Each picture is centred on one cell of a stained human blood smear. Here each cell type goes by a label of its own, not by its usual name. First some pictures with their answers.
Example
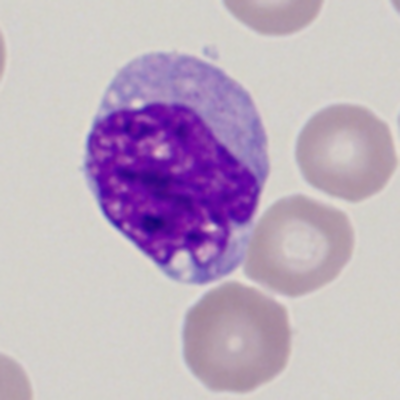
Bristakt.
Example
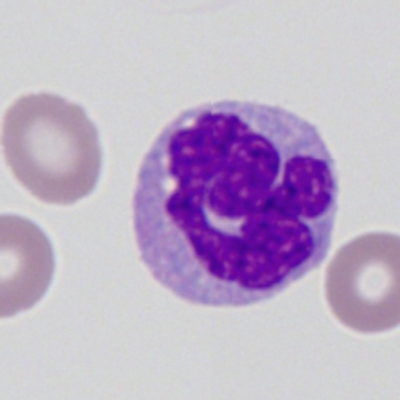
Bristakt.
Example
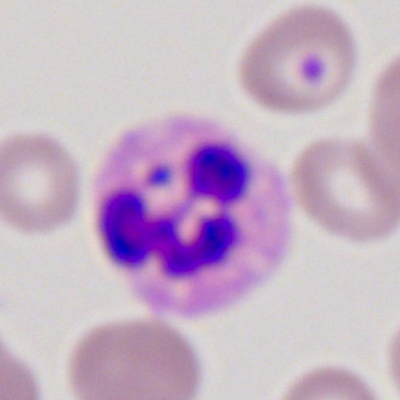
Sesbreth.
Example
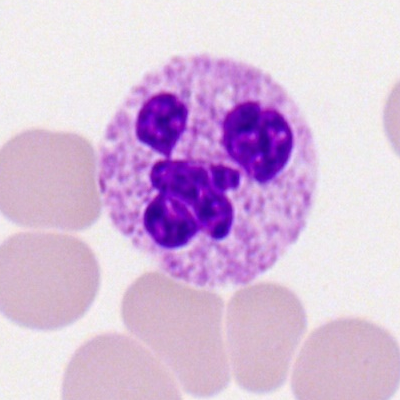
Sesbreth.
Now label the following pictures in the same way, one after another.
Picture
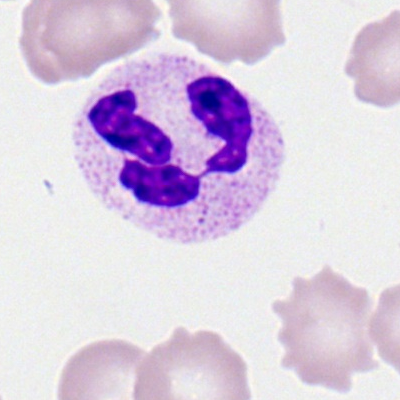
Sesbreth.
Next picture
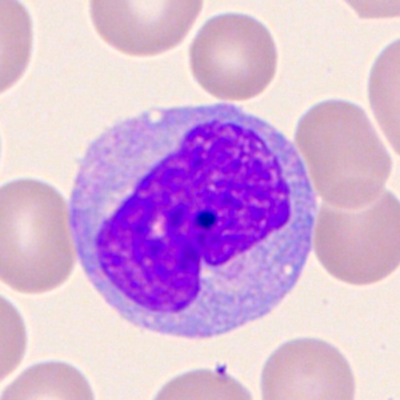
Bristakt.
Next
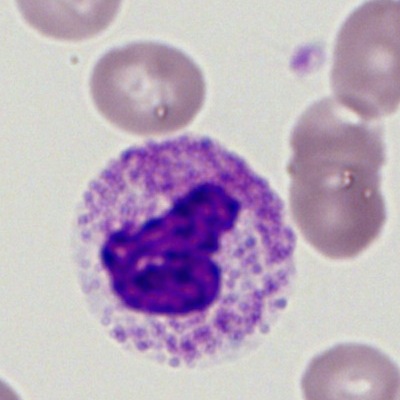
Sesbreth.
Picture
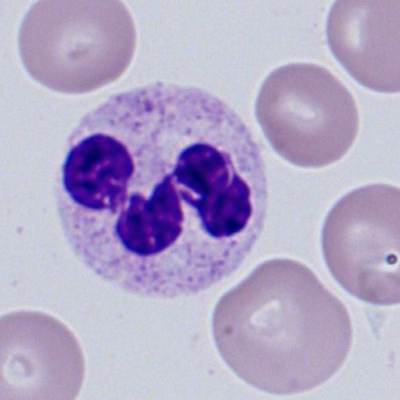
Sesbreth.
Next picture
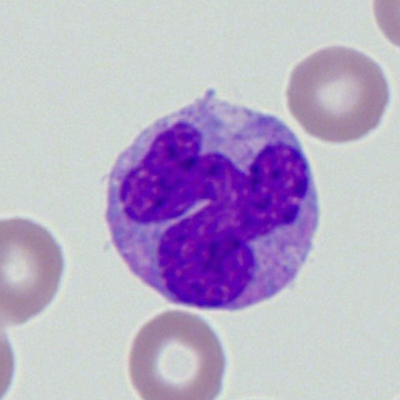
Bristakt.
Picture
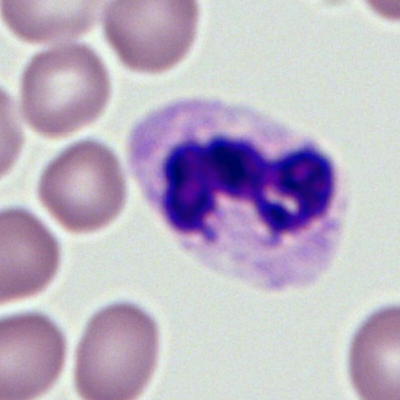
Sesbreth.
